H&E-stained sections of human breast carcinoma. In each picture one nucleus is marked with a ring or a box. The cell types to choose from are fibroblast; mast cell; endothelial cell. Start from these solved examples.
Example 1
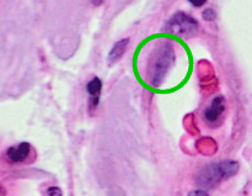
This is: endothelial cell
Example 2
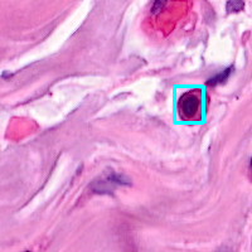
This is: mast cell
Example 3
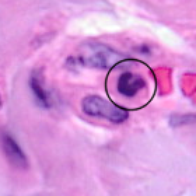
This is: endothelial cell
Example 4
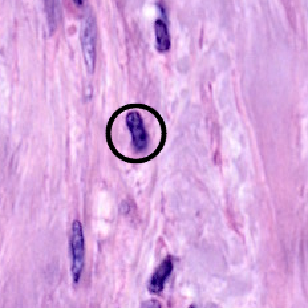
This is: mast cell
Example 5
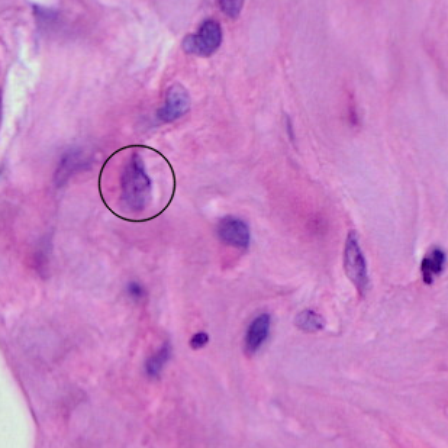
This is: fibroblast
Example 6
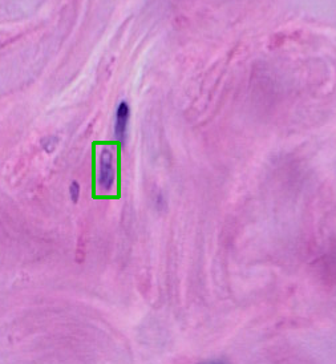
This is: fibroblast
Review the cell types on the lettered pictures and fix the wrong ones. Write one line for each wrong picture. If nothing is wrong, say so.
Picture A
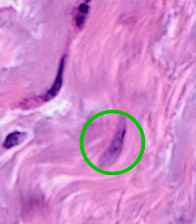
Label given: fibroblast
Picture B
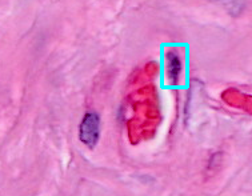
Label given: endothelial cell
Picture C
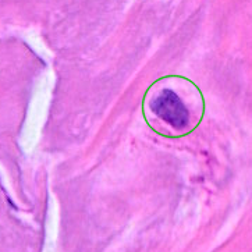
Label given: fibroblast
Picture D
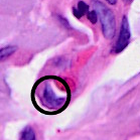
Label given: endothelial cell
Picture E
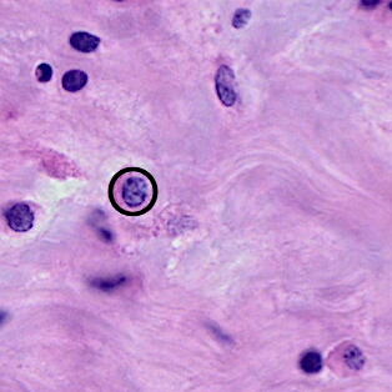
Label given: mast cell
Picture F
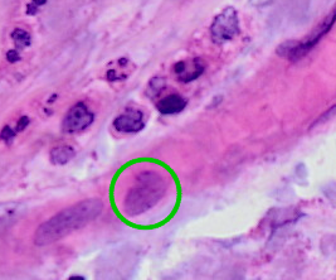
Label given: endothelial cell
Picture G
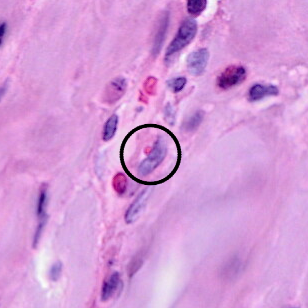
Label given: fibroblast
G is labelled fibroblast; correct label: endothelial cell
